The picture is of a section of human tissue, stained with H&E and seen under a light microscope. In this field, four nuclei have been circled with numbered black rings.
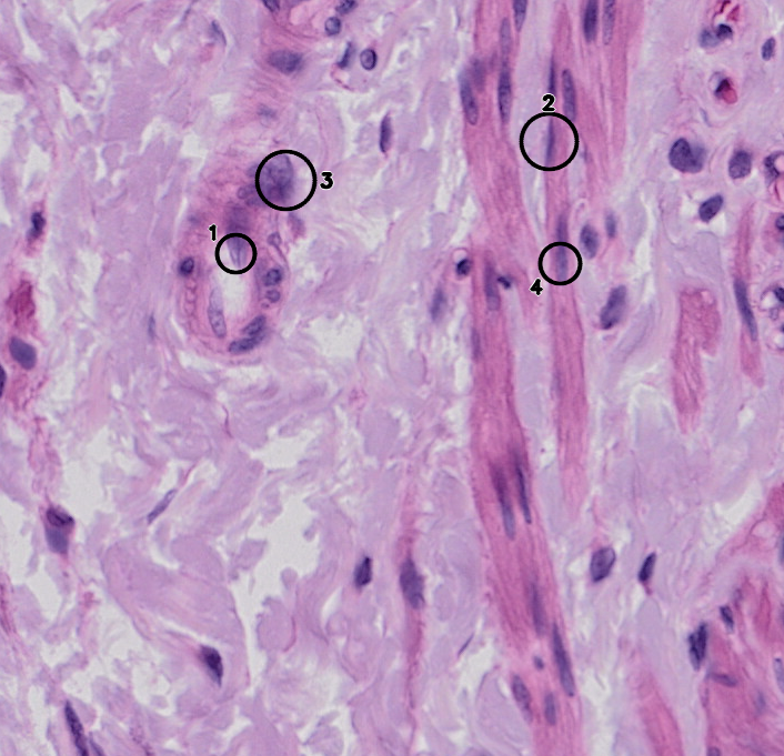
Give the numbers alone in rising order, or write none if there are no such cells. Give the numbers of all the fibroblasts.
3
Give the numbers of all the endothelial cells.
1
